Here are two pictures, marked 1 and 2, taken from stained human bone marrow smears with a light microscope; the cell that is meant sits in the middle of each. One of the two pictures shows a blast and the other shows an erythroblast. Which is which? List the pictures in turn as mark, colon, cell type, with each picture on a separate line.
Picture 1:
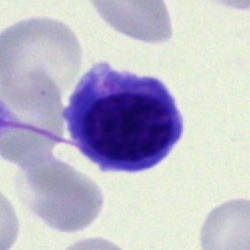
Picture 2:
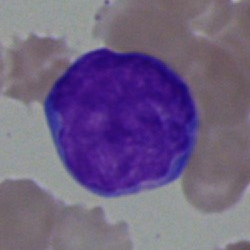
1: erythroblast
2: blast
